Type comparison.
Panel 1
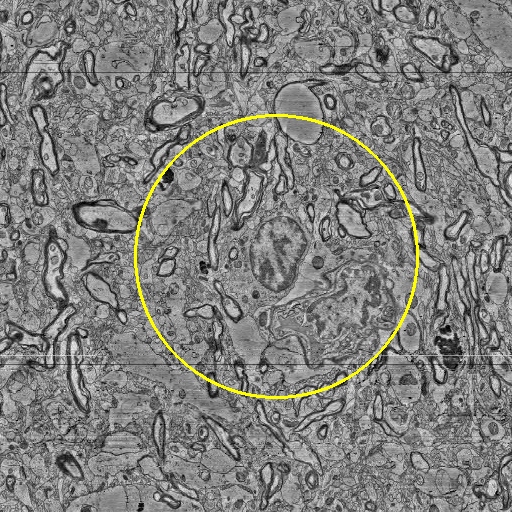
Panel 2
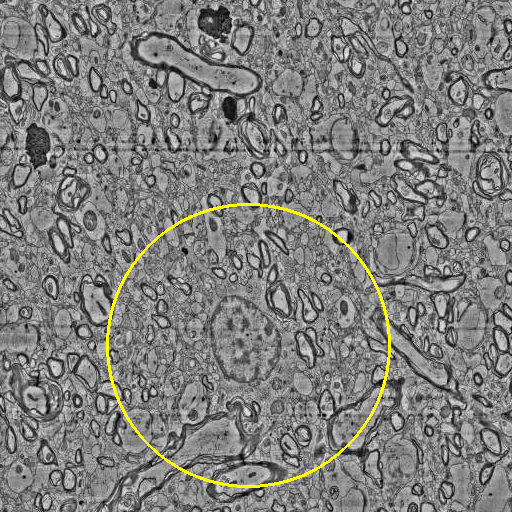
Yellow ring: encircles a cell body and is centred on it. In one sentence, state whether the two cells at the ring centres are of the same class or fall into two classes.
In these panels, the two cells at the ring centres are of the same class.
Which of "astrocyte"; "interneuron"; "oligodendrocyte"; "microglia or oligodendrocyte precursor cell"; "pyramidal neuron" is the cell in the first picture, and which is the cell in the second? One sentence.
In each of the two pictures, the ringed cell is an oligodendrocyte.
